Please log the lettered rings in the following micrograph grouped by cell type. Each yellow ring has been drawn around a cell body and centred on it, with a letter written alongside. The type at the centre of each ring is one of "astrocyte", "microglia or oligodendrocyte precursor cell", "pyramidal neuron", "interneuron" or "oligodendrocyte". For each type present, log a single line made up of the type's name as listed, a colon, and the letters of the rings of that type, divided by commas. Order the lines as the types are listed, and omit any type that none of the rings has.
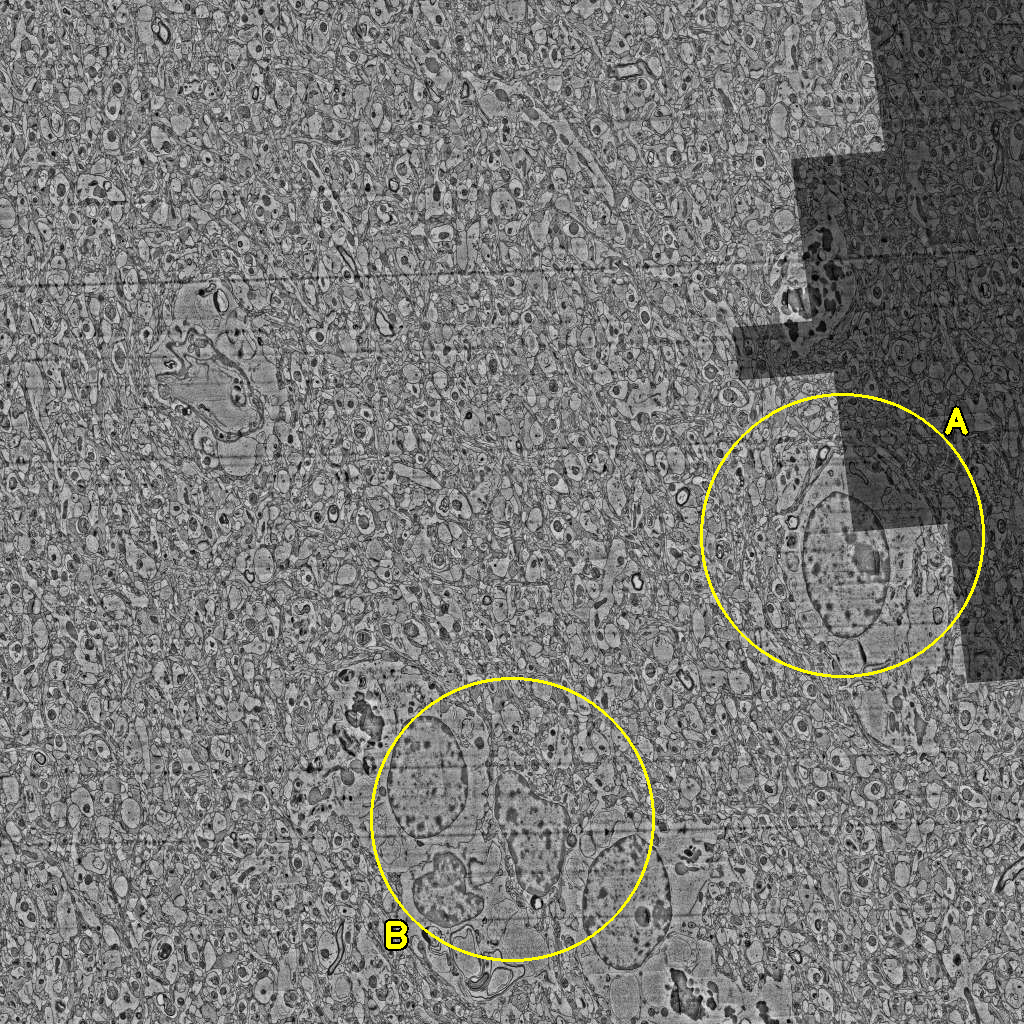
astrocyte: A
microglia or oligodendrocyte precursor cell: B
